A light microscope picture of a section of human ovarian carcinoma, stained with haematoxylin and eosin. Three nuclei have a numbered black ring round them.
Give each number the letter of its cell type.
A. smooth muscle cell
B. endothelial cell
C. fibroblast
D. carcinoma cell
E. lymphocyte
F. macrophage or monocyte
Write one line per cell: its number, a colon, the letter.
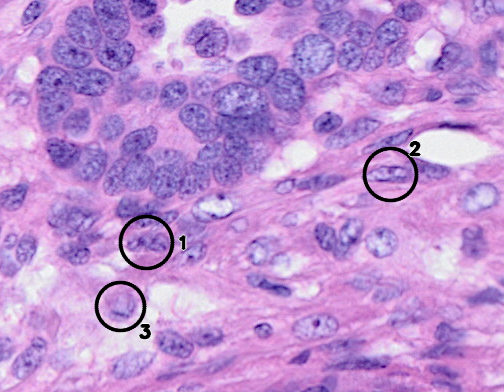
1: F
2: C
3: C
